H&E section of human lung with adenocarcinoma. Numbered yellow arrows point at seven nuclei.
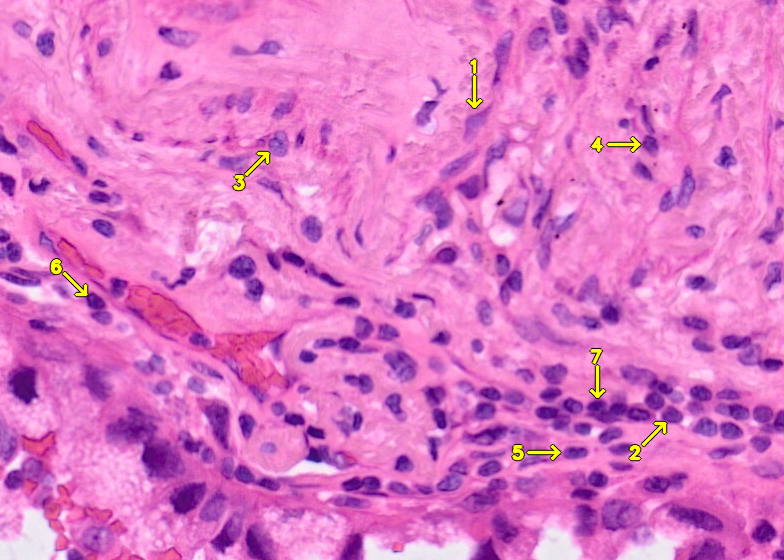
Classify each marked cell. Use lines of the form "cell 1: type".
cell 1: smooth muscle cell or pericyte
cell 2: lymphocyte
cell 3: smooth muscle cell or pericyte
cell 4: plasma cell
cell 5: lymphocyte
cell 6: lymphocyte
cell 7: lymphocyte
